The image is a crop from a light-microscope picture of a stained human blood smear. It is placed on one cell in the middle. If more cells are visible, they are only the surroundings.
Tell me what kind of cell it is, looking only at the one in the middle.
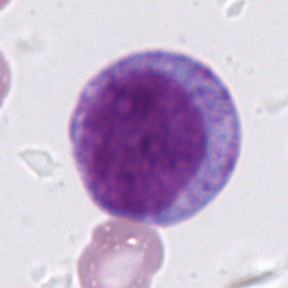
promyelocyte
